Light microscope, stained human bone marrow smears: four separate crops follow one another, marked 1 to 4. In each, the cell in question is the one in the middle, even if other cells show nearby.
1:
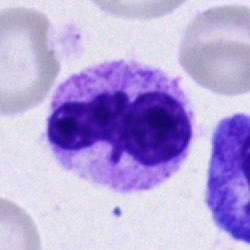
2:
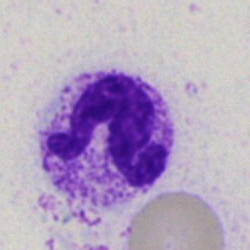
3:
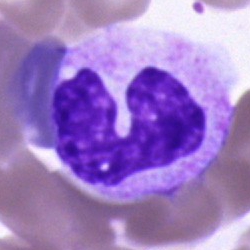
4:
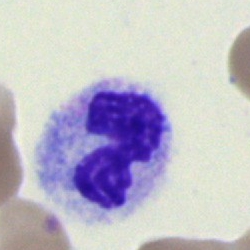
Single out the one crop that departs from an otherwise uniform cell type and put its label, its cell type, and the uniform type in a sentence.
What sets crop 3 apart is that it is a band neutrophil; the others are all segmented neutrophils.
